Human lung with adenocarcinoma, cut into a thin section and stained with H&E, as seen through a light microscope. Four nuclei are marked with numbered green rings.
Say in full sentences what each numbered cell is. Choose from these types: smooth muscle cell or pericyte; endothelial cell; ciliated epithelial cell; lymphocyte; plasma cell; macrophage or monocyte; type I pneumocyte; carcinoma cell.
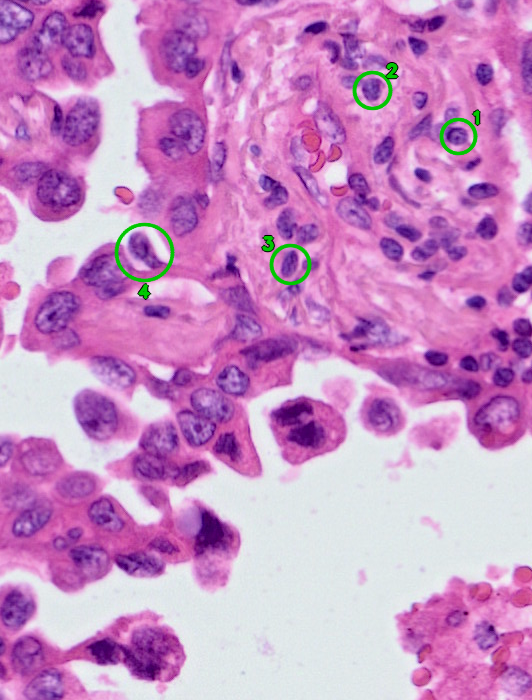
Cells 1, 2 and 3 are lymphocytes. Cell 4 is a carcinoma cell.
